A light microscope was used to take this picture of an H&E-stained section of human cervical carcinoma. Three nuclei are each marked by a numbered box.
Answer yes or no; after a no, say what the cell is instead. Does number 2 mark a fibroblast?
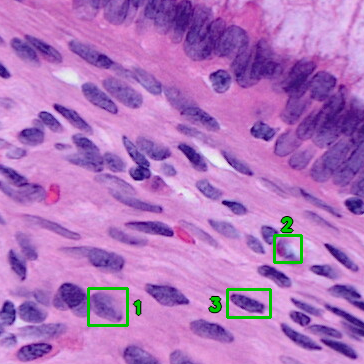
No, it is an endothelial cell.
